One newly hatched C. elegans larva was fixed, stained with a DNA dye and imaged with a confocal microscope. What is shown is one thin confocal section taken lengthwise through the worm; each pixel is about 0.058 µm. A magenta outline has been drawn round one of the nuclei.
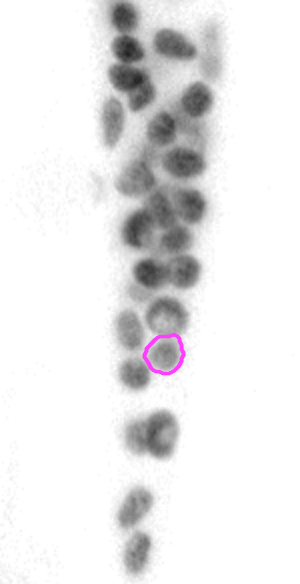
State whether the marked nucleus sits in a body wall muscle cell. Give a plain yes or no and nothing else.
no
